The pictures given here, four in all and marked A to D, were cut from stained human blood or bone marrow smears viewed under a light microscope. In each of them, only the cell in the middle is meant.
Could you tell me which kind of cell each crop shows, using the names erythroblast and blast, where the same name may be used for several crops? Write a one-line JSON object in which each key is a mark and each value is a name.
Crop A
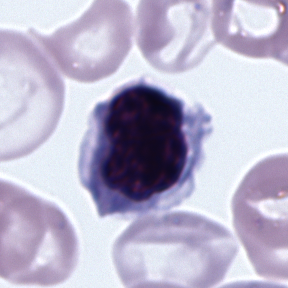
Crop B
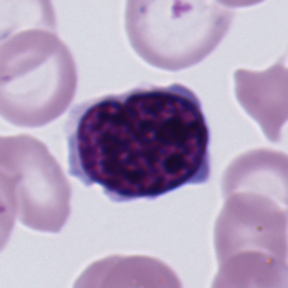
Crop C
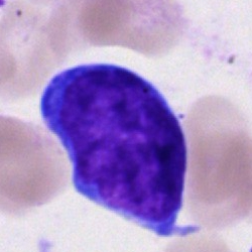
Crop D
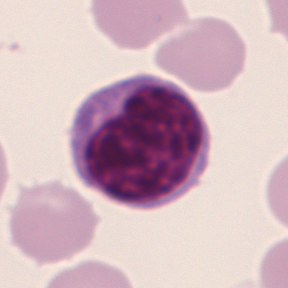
{"A": "erythroblast", "B": "erythroblast", "C": "blast", "D": "erythroblast"}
